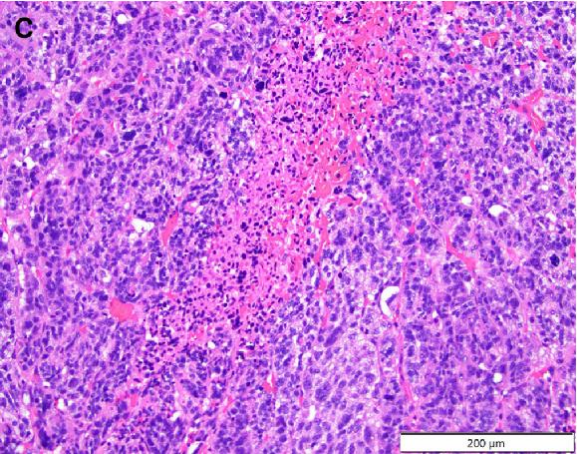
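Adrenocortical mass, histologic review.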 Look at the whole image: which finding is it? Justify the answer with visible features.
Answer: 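A central pink zone with scattered small dark nuclear fragments. Sheets of viable tumor cells with dark nuclei surround the pink zone.
Conclusion: Coagulative tumor necrosis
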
